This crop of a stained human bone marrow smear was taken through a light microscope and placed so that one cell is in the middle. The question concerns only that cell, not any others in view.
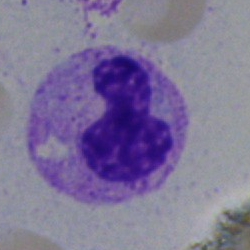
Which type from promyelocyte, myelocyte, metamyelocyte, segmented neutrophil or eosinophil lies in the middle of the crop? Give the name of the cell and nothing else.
segmented neutrophil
